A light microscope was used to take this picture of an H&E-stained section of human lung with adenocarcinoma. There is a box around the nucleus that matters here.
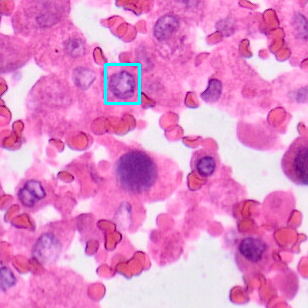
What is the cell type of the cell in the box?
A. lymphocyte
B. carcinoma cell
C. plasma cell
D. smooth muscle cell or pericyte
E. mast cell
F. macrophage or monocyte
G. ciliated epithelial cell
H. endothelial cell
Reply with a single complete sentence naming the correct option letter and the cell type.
Option F is right, and the cell in the box is a macrophage or monocyte.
